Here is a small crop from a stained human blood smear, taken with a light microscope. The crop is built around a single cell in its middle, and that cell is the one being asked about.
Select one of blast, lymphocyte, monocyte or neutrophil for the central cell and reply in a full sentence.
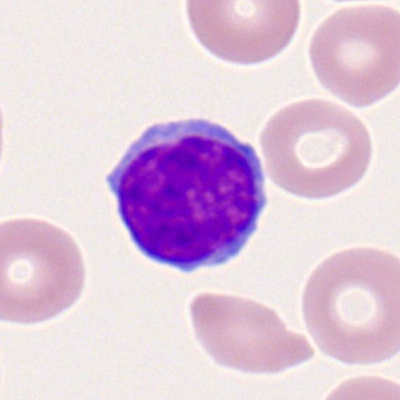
Whatever else lies nearby, the middle cell is a lymphocyte.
